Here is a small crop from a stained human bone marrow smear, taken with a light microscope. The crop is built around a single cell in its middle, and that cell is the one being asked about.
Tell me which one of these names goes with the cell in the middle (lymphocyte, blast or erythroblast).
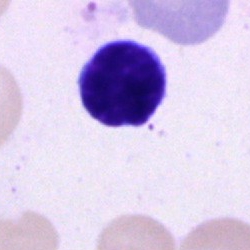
lymphocyte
